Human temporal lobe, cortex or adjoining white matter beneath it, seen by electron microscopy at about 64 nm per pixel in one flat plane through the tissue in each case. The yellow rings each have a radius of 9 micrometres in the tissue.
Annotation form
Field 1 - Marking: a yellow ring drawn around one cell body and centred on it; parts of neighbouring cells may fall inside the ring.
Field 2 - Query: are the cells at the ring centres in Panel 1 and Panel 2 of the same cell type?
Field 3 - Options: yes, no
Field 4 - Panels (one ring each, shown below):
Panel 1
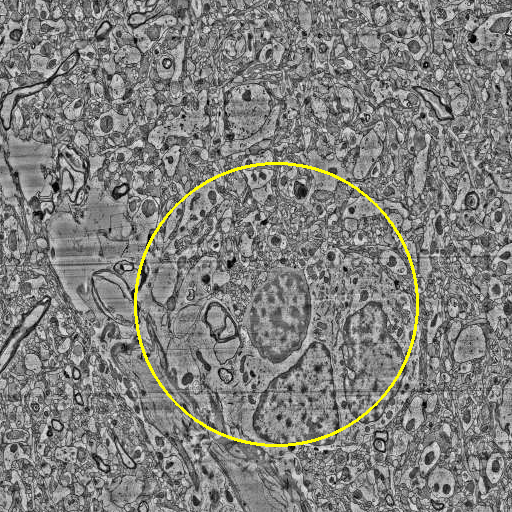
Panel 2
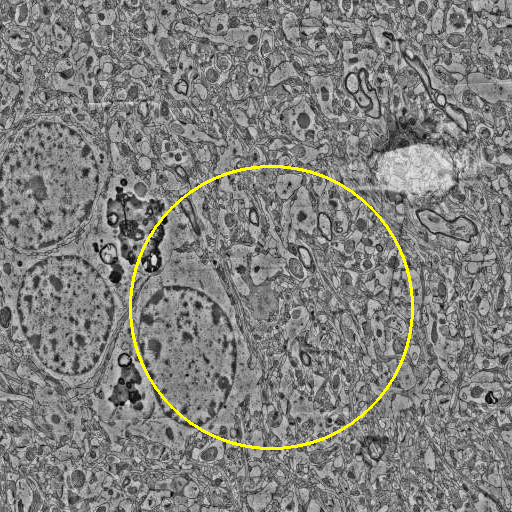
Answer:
yes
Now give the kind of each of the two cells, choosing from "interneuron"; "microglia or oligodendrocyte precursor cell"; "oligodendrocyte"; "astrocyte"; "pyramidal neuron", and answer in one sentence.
Each of the ringed cells, first and second, is an oligodendrocyte.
